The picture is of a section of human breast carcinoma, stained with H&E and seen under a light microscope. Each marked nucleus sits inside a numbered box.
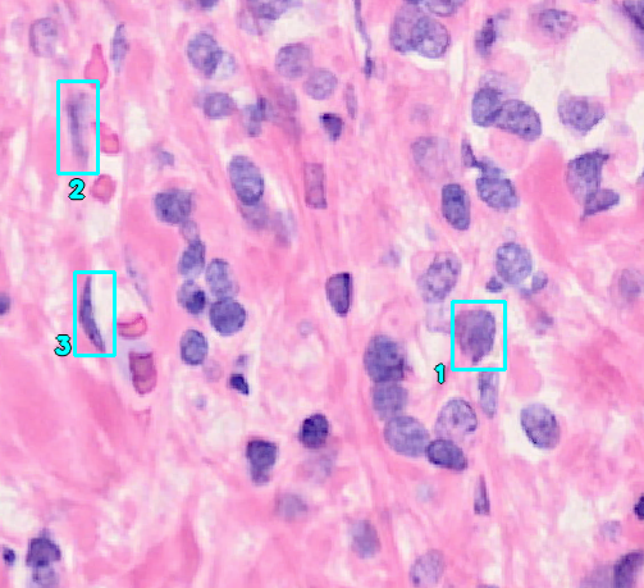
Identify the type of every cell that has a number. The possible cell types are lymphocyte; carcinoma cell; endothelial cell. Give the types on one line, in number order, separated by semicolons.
carcinoma cell; endothelial cell; endothelial cell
